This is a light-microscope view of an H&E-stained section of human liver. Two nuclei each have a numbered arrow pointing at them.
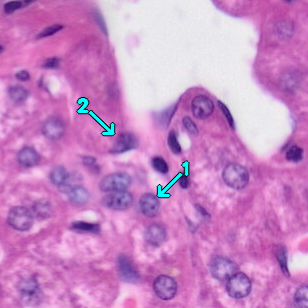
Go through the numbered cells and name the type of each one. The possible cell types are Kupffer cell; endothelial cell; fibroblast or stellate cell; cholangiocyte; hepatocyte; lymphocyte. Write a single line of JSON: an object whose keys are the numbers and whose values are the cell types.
{"1": "cholangiocyte", "2": "fibroblast or stellate cell"}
